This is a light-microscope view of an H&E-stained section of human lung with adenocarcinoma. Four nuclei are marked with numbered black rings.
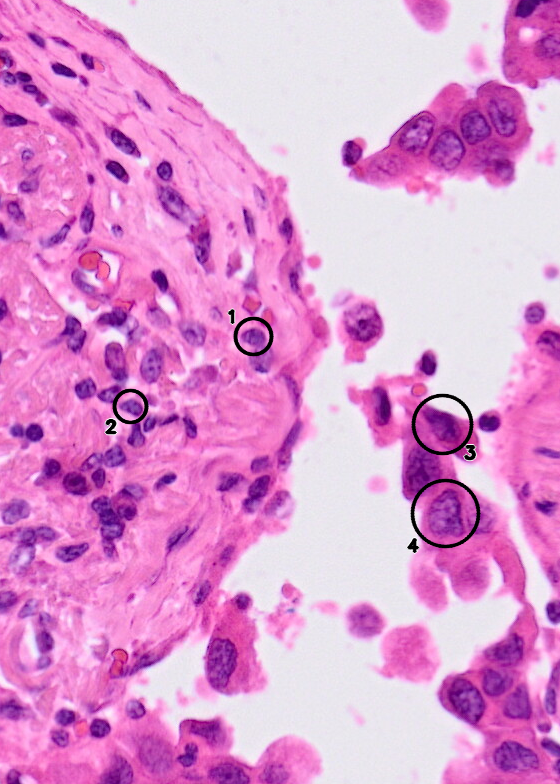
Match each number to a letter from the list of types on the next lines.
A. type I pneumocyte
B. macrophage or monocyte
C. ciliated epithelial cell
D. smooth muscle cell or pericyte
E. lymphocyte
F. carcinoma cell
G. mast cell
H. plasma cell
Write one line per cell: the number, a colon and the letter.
1: E
2: E
3: F
4: F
